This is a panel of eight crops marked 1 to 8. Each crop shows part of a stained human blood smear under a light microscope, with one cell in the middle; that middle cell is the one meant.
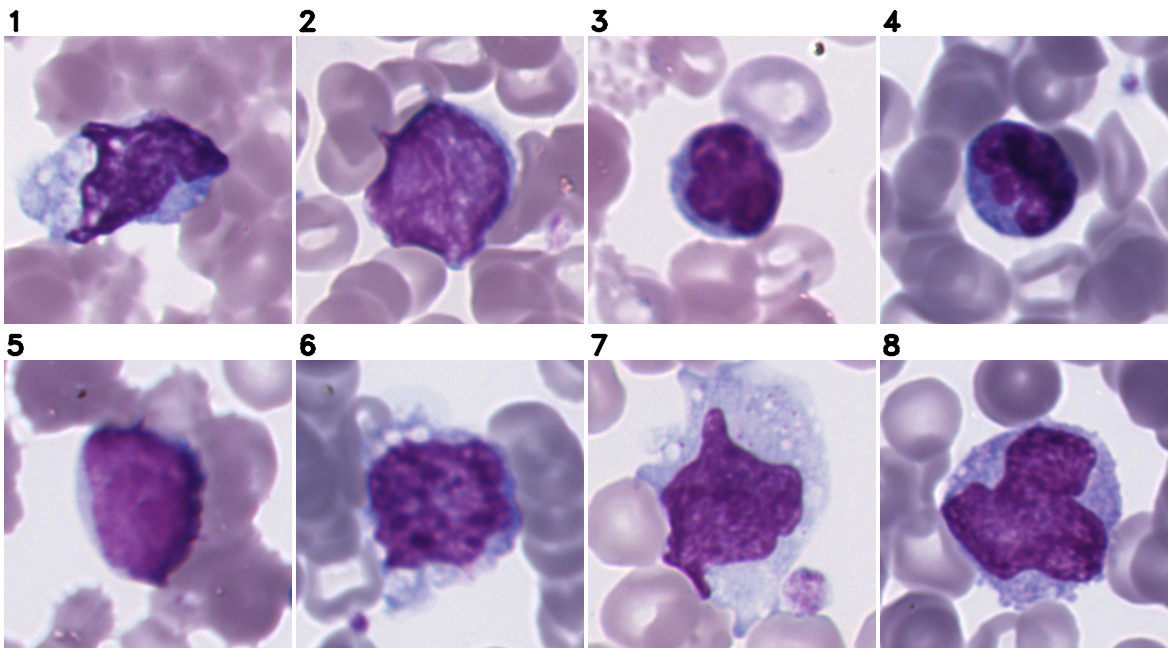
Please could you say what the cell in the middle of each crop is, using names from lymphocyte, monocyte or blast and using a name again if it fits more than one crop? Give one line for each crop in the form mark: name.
1: monocyte
2: blast
3: lymphocyte
4: lymphocyte
5: blast
6: monocyte
7: monocyte
8: monocyte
